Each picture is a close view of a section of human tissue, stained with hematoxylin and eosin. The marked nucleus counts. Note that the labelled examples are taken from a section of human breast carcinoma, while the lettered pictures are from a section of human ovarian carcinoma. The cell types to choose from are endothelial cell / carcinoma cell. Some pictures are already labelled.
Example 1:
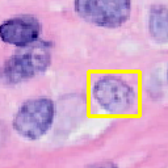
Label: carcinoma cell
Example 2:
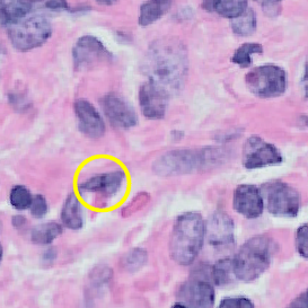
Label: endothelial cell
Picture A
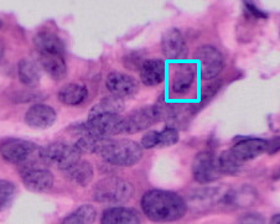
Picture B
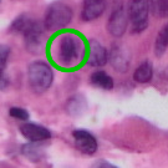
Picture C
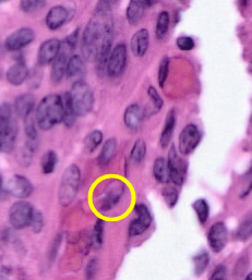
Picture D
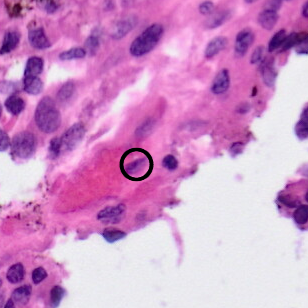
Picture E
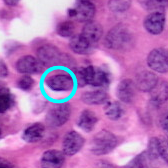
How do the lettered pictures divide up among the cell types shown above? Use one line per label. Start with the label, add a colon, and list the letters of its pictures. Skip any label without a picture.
endothelial cell: C, D
carcinoma cell: A, B, E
